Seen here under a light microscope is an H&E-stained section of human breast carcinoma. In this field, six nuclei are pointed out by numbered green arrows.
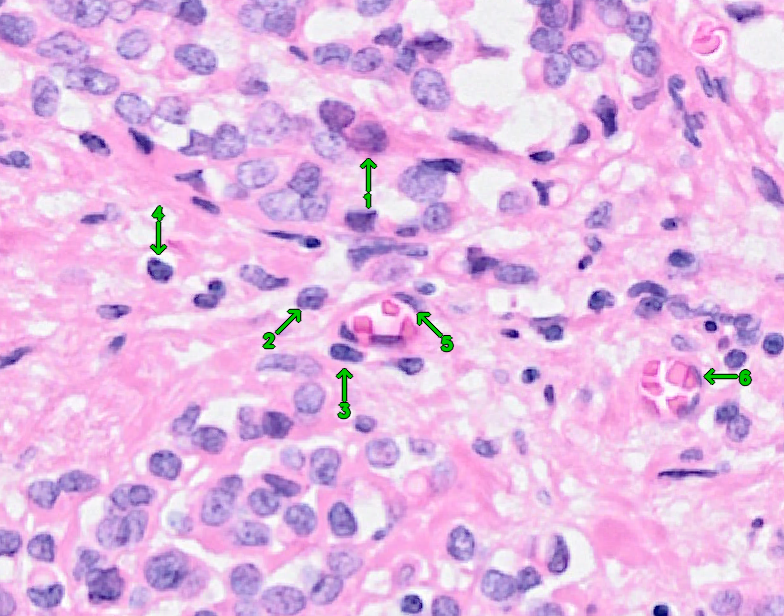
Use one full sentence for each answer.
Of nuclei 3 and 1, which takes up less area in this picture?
It is nucleus 3; nucleus 1 has about 2 times its area.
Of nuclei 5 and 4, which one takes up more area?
Of the two, number 4 is bigger and takes up about 1.5 times the area of number 5.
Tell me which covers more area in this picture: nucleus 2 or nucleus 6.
Nucleus 2 is larger, with an area about 3 times that of nucleus 6.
